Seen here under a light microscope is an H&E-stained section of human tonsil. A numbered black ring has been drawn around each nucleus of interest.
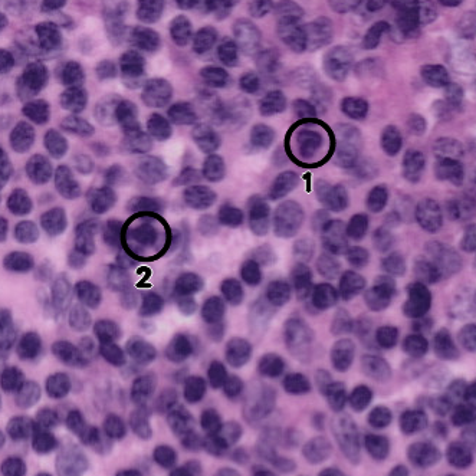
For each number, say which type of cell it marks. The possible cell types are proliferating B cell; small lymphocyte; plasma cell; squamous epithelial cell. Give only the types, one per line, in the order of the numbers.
plasma cell
small lymphocyte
